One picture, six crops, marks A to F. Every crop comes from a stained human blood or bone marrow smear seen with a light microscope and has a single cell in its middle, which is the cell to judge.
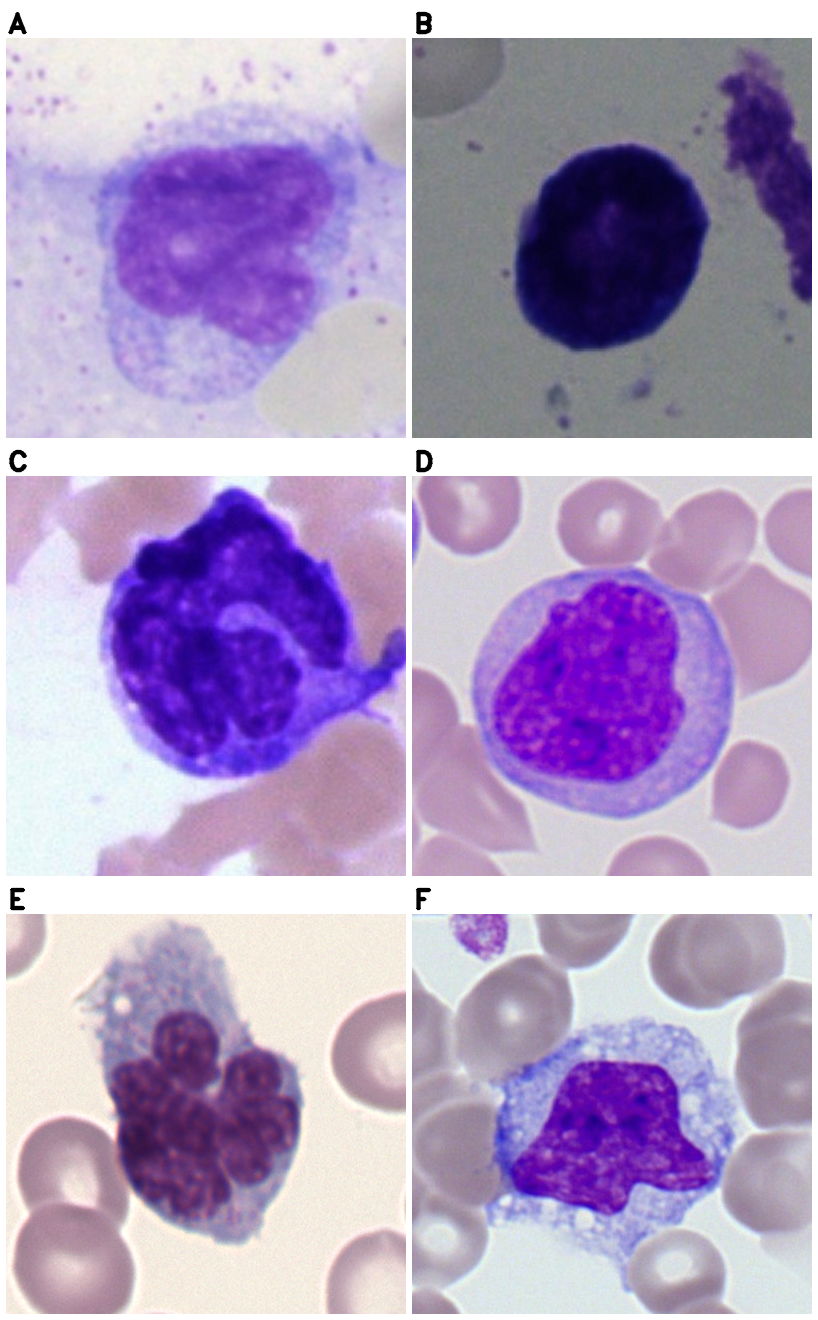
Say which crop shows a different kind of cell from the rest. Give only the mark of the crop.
B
